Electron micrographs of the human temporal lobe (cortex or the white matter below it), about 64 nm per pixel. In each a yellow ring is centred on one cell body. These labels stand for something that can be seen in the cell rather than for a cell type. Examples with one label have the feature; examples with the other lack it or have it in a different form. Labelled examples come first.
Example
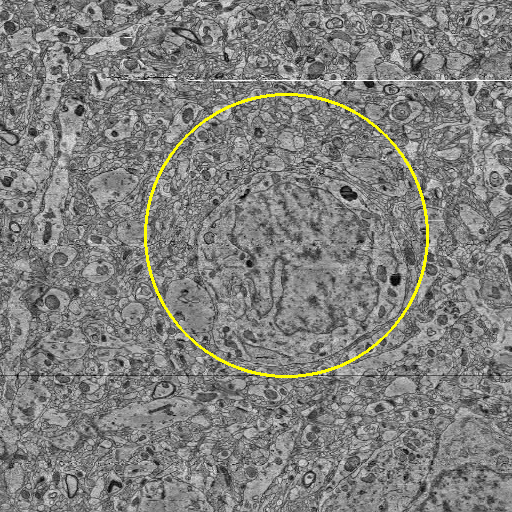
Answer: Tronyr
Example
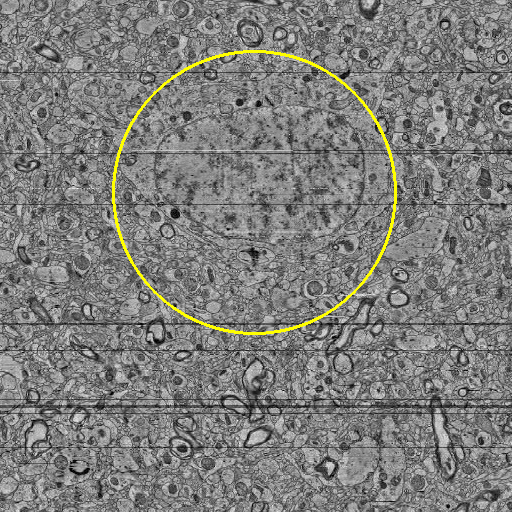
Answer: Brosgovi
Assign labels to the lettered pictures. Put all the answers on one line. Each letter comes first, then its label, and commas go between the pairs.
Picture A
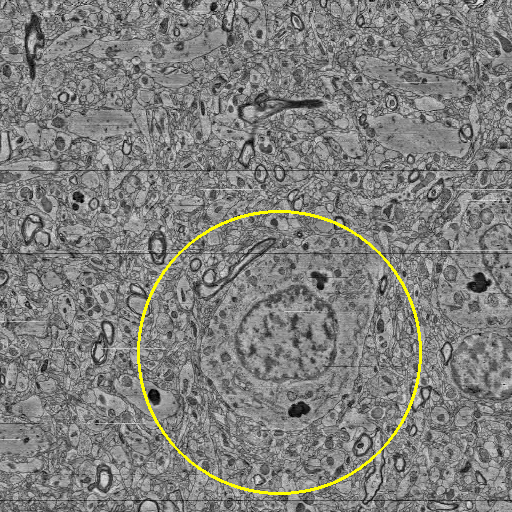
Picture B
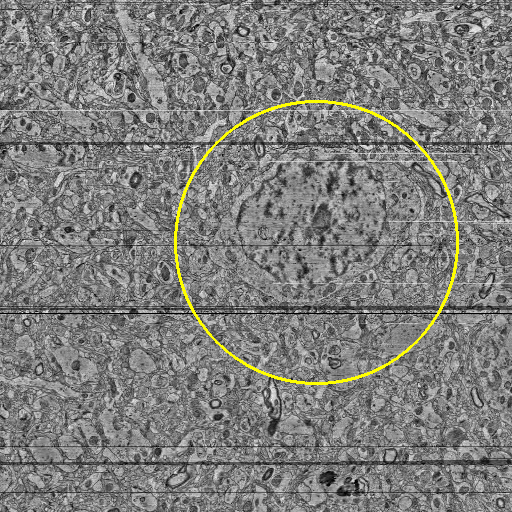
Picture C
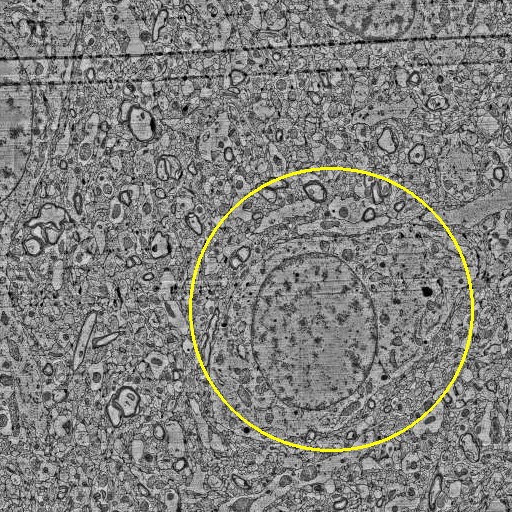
A Brosgovi, B Brosgovi, C Brosgovi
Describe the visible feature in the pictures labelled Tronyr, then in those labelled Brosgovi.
In Tronyr: deeply folded or indented nuclear envelopes. In Brosgovi: smooth nuclear envelopes without deep folds.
